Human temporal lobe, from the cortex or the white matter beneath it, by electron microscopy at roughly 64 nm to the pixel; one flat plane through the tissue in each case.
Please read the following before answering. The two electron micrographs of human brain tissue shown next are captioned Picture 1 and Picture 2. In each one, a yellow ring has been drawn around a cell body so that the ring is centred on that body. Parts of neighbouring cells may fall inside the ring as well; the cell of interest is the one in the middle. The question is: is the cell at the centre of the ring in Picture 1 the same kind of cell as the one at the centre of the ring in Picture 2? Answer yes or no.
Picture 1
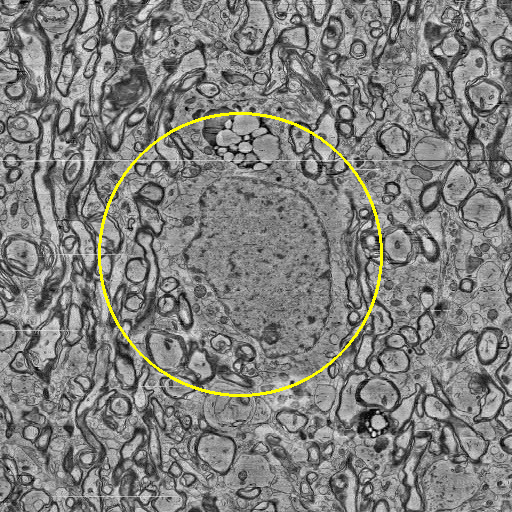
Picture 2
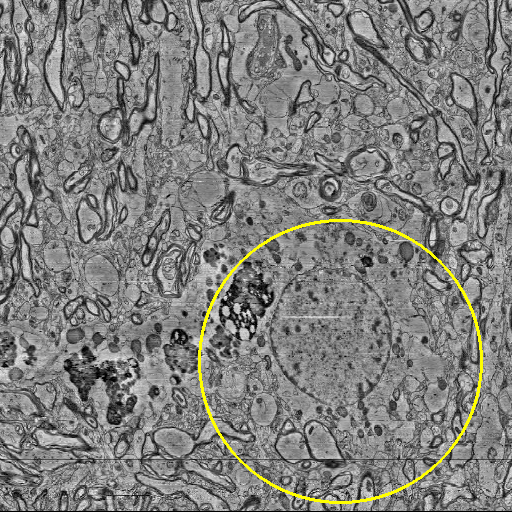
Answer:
yes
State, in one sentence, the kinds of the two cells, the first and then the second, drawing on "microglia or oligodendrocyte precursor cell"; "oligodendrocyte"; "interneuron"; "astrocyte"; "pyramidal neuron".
In each picture the ringed cell is an astrocyte.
